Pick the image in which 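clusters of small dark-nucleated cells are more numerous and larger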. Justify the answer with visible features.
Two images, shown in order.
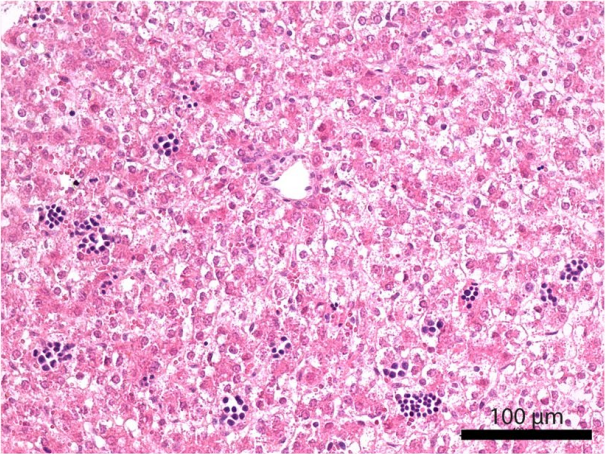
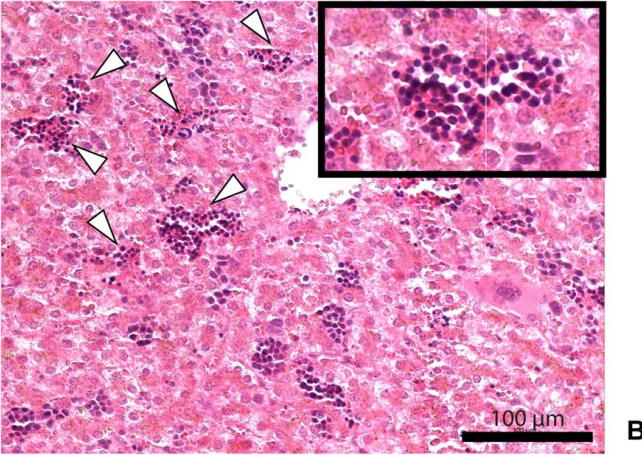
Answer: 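The second image. Second image: many large, partly merging clusters of small dark cells throughout the field. First image: fewer, smaller, discrete clusters of small dark cells.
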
